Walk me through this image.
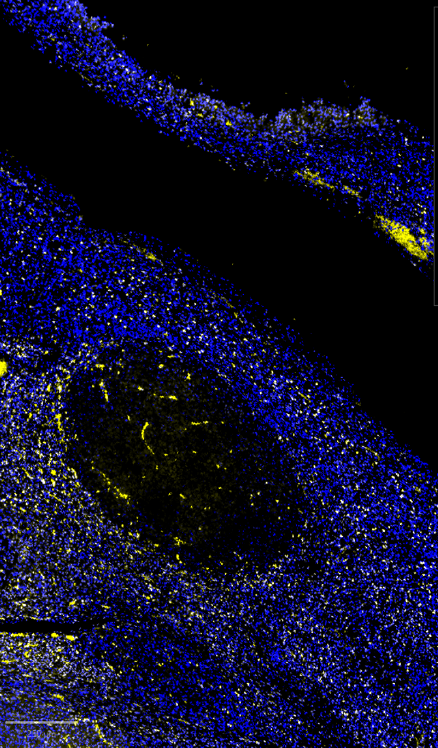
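Many nuclei in the surrounding tissue appear white, speckling the section. A large oval region in the middle looks dark, with few white nuclei, and is traversed by thin, branching yellow lines, like small vessels. Further yellow threads and patches run along the edge of the oval, at the lower left and in the thin strip of tissue at the top, where a bright yellow patch lies at the right. The upper strip is separated from the main mass by a dark gap.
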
